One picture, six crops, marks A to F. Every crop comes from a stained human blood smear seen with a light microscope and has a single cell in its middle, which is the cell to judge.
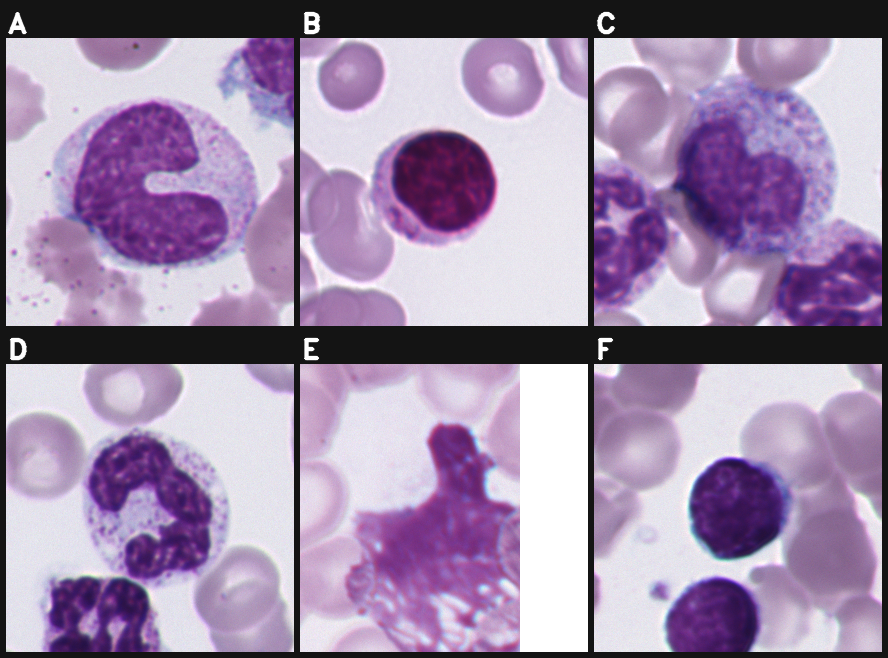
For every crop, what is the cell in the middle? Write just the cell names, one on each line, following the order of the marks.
band neutrophil
large granular lymphocyte
myelocyte
segmented neutrophil
smudge cell
typical lymphocyte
